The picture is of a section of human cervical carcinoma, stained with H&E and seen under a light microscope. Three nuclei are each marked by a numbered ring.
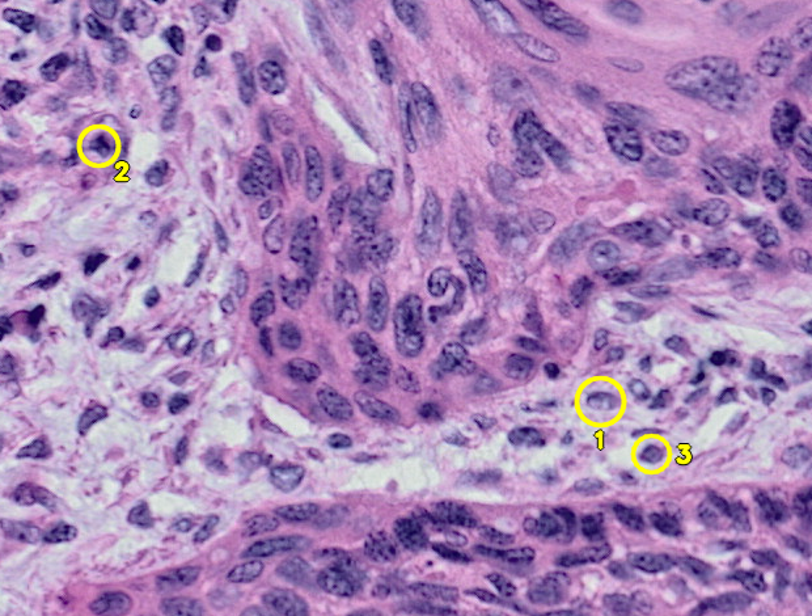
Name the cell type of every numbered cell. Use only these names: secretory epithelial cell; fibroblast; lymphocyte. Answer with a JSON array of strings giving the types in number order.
["fibroblast", "lymphocyte", "fibroblast"]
